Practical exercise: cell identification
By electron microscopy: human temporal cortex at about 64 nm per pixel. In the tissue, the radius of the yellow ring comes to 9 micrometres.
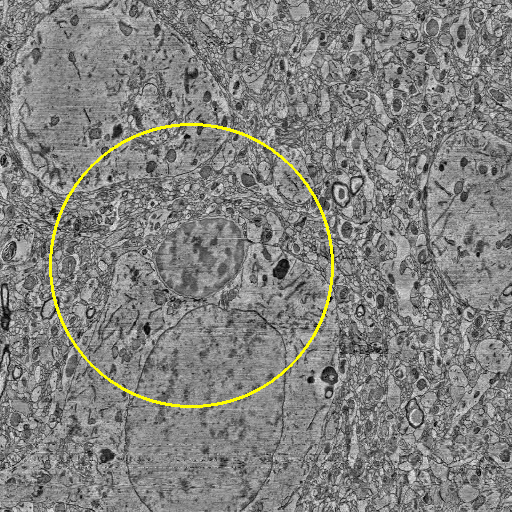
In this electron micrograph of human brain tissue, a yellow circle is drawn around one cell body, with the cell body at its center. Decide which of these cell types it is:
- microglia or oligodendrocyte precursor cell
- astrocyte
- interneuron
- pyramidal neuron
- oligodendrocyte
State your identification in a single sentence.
The ringed cell is an oligodendrocyte.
